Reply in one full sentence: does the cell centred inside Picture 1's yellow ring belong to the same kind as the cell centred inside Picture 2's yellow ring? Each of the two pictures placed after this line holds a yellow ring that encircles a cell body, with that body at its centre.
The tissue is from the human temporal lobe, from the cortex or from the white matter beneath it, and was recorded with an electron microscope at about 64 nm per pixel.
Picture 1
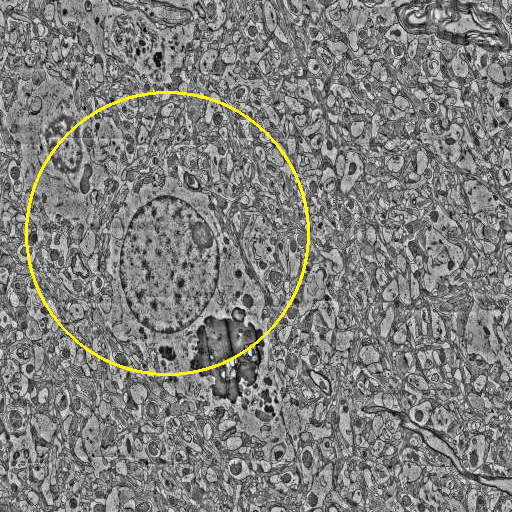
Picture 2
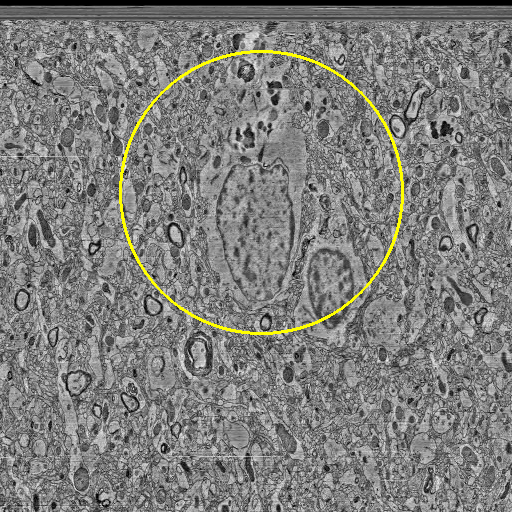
Yes, the ring-centred cells in Picture 1 and Picture 2 are of one and the same kind.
